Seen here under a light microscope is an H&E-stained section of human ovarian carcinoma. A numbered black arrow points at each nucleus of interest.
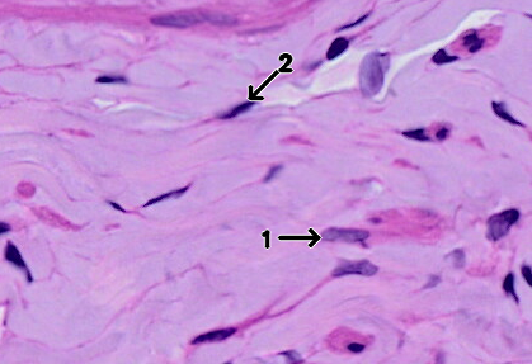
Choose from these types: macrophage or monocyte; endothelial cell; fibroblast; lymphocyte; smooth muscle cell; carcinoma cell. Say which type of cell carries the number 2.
fibroblast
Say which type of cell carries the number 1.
smooth muscle cell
